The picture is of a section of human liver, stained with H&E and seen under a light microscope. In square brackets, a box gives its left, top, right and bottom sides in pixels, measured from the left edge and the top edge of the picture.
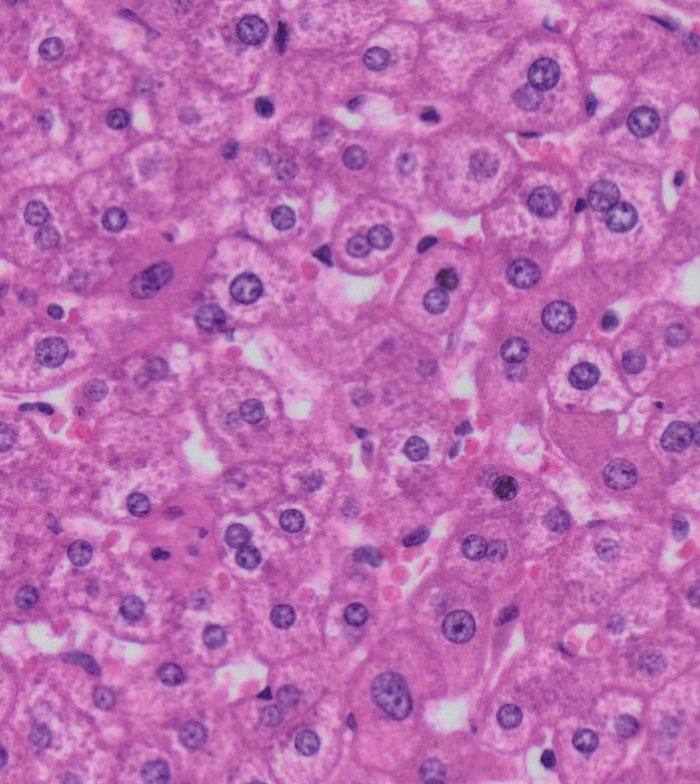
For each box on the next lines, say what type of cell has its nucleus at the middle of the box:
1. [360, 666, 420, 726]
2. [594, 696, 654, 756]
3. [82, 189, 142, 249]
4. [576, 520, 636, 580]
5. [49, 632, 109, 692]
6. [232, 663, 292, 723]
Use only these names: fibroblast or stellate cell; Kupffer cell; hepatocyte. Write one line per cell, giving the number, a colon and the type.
1: hepatocyte
2: hepatocyte
3: hepatocyte
4: hepatocyte
5: Kupffer cell
6: fibroblast or stellate cell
